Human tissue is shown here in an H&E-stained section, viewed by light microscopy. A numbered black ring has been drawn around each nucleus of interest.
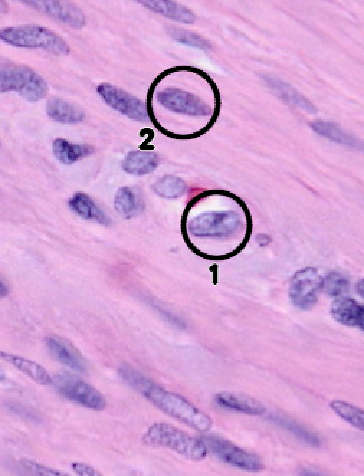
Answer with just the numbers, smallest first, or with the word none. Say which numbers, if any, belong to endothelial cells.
1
